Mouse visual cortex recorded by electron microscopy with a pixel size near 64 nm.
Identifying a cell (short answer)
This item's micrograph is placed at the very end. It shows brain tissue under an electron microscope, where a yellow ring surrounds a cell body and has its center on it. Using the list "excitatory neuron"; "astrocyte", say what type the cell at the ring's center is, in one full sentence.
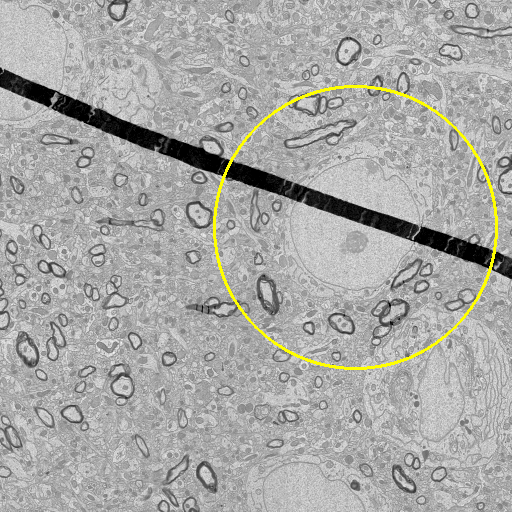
This picture shows an excitatory neuron at the center of the yellow ring drawn on it.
